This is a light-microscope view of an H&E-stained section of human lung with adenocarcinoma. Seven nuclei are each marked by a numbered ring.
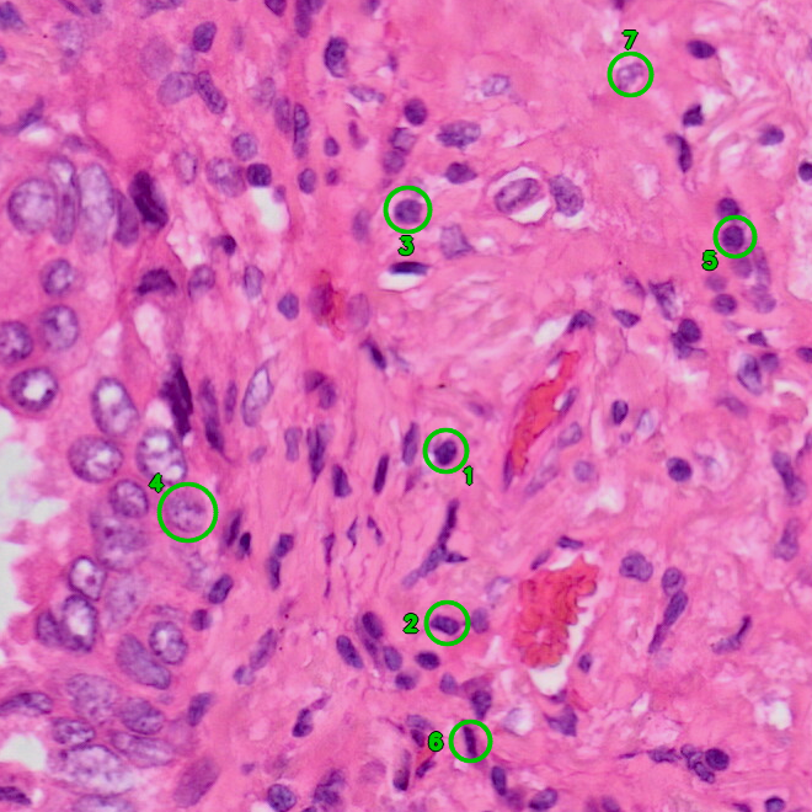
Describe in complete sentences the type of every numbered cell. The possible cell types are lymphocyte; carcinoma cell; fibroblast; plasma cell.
Cell 1 is a lymphocyte, cell 2 is a lymphocyte, cell 3 is a lymphocyte, cell 4 is a carcinoma cell, cell 5 is a lymphocyte, cell 6 is a plasma cell and cell 7 is a fibroblast.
